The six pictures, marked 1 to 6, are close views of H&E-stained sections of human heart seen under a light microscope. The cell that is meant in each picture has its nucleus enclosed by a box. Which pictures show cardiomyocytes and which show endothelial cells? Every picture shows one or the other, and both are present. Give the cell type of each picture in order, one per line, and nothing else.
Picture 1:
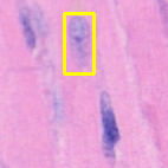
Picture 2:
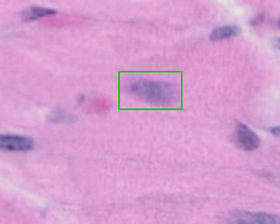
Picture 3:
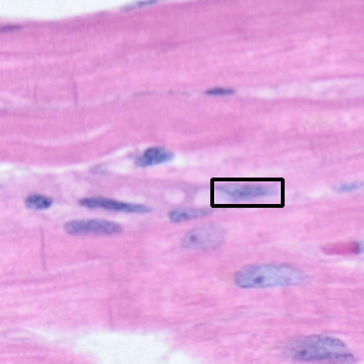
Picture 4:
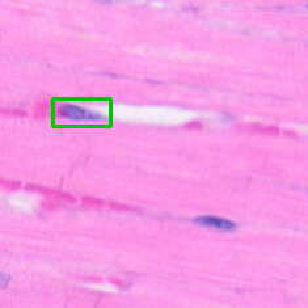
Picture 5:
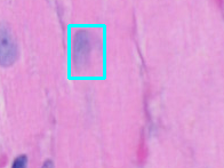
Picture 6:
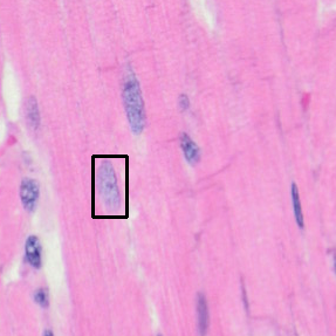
cardiomyocyte
cardiomyocyte
endothelial cell
endothelial cell
cardiomyocyte
cardiomyocyte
